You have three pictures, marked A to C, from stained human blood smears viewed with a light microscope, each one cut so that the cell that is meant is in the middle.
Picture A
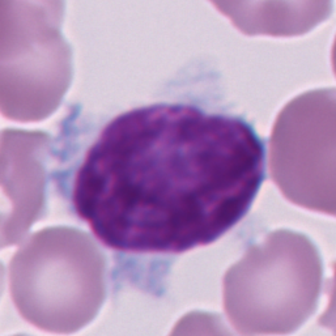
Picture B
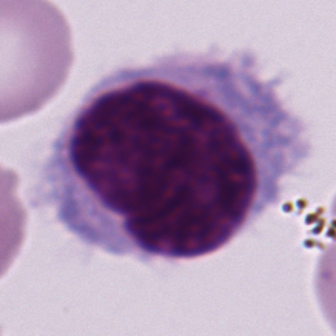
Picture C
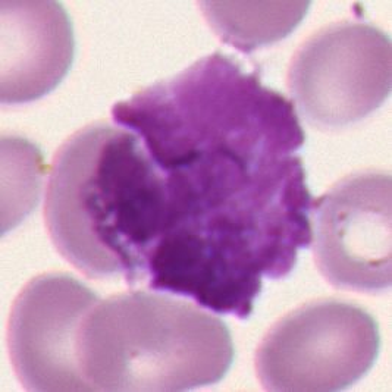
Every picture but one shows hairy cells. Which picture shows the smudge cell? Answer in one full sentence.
The smudge cell is the one in picture C.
